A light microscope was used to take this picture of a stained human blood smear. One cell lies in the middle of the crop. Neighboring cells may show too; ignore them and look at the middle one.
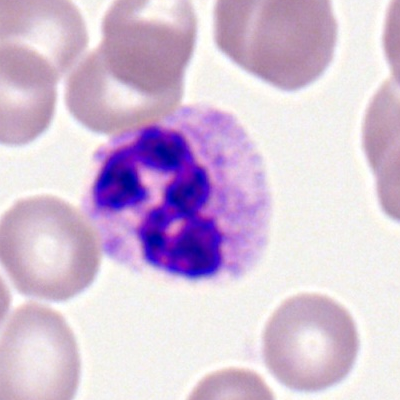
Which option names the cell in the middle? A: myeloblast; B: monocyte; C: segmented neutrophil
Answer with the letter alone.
C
